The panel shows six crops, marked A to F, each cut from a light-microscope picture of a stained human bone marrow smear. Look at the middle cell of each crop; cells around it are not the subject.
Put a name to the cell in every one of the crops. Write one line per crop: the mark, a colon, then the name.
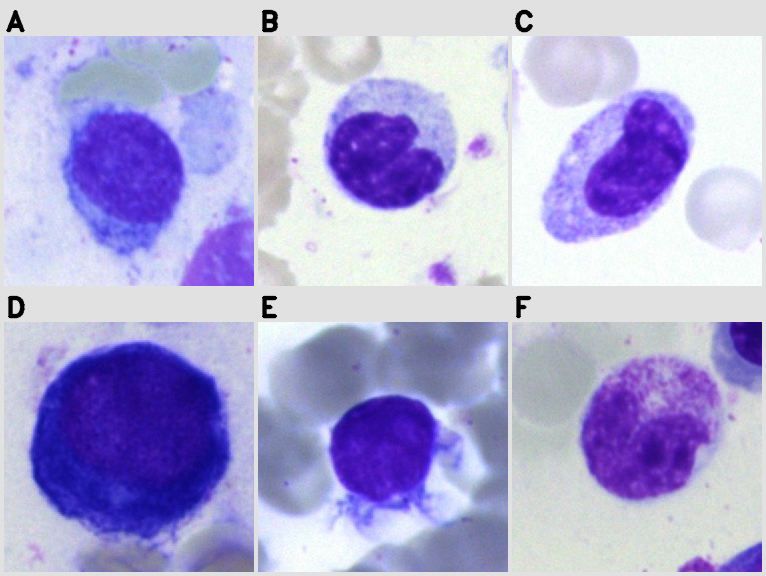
A: hairy cell
B: metamyelocyte
C: metamyelocyte
D: proerythroblast
E: hairy cell
F: band neutrophil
